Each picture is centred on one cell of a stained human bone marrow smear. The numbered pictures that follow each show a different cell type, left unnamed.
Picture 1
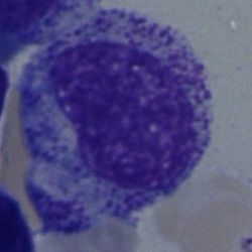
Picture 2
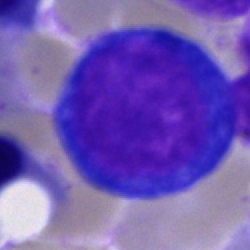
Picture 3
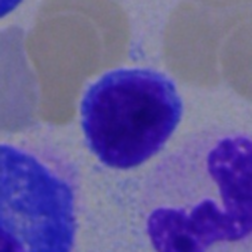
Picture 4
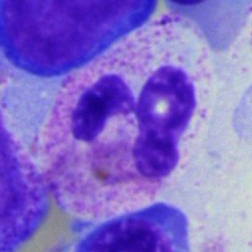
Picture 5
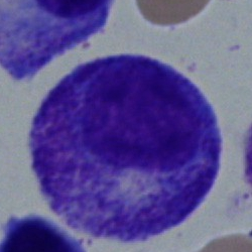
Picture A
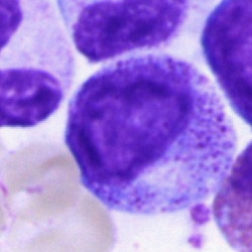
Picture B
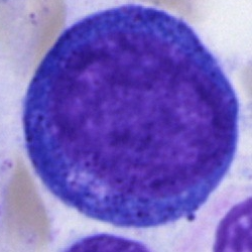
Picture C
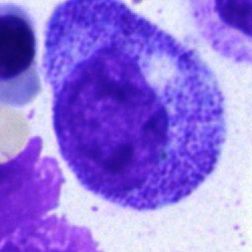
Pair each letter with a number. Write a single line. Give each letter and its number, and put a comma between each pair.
A 5, B 2, C 5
